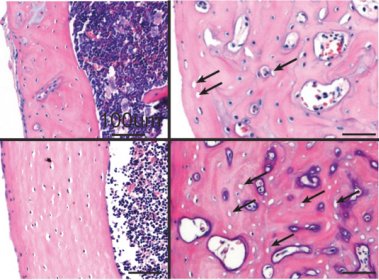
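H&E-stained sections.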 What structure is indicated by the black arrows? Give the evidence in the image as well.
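Empty osteocyte lacunae. The arrows point to small spaces within the pink bone matrix. These spaces contain no purple-stained nucleus, unlike most other lacunae.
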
